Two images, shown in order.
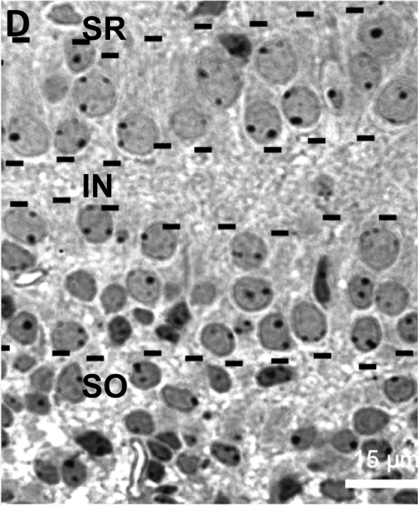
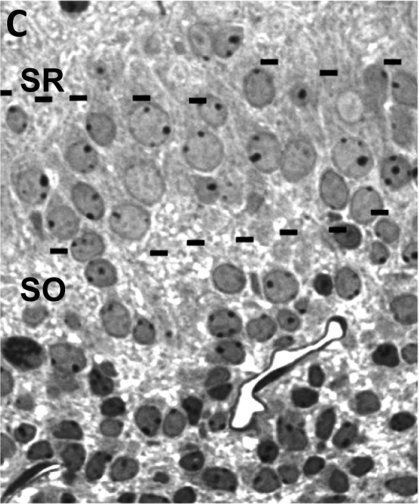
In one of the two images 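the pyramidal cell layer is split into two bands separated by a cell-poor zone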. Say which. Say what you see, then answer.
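First image: two bands of nuclei with a cell-poor neuropil band between them. Second image: a single continuous band of nuclei.
Conclusion: the first image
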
